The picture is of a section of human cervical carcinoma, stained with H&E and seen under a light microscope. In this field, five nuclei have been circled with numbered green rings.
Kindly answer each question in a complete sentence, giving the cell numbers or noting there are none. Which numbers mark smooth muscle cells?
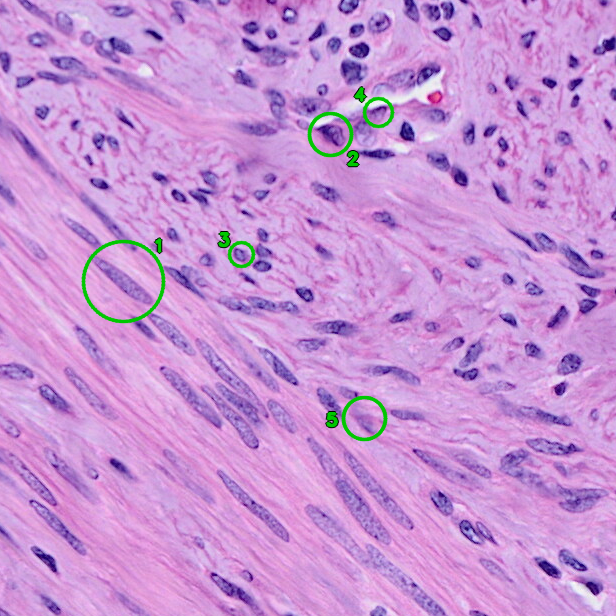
Identification: the cells with numbers 1, 3 and 5 are smooth muscle cells.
